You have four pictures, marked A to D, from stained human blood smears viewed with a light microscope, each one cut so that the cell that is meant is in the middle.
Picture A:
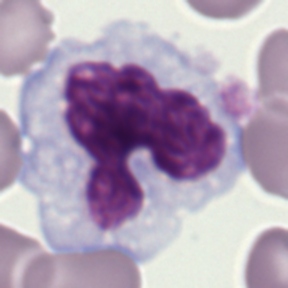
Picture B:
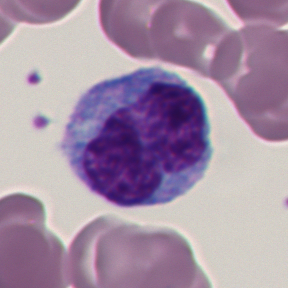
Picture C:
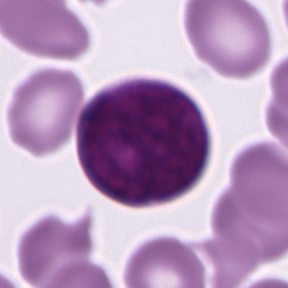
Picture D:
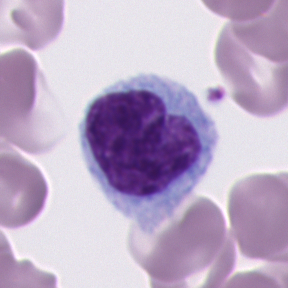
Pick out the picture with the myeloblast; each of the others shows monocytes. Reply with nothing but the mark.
C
